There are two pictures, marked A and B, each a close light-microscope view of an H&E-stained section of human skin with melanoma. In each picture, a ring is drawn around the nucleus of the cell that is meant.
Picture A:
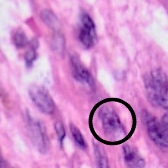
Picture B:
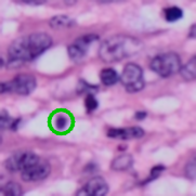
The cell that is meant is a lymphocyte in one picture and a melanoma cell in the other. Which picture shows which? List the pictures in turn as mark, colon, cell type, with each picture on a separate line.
A: melanoma cell
B: lymphocyte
